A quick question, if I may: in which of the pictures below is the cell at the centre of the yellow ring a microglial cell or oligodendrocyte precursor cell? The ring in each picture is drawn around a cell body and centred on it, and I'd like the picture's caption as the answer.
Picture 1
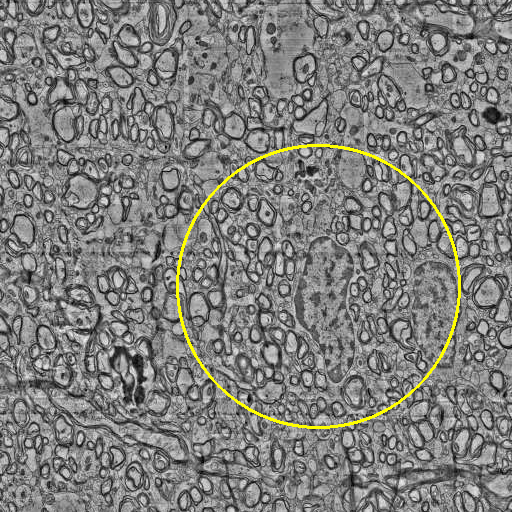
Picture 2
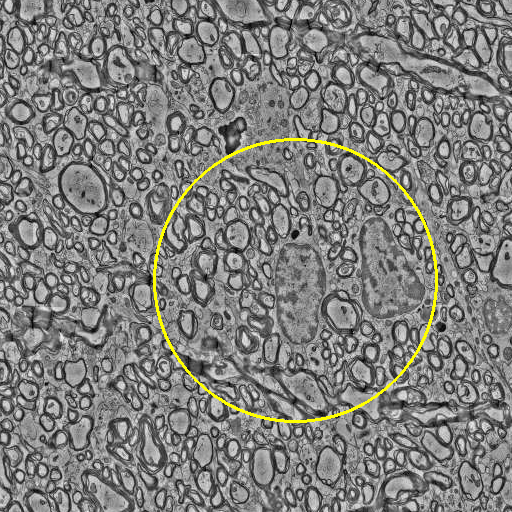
Picture 1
